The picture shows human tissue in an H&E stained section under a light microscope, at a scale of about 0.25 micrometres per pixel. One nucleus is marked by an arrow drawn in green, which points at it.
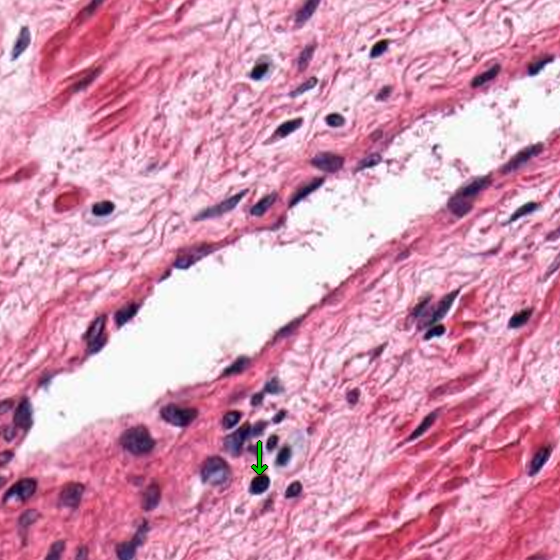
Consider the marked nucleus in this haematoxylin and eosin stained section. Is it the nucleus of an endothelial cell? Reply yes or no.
no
